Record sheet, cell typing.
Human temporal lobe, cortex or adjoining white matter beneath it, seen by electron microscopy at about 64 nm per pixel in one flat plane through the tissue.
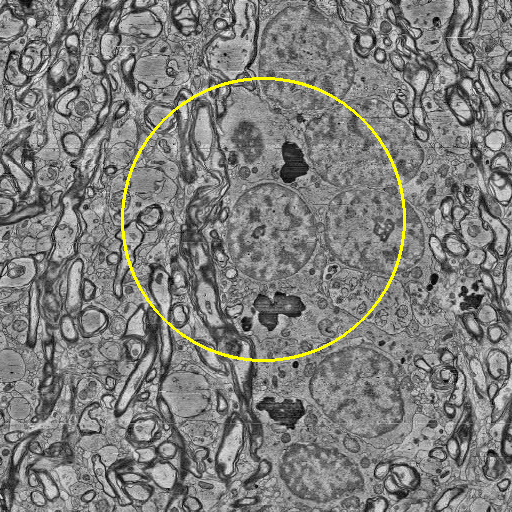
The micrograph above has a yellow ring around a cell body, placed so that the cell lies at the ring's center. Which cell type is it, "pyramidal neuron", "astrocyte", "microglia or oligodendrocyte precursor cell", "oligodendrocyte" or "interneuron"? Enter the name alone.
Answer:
oligodendrocyte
